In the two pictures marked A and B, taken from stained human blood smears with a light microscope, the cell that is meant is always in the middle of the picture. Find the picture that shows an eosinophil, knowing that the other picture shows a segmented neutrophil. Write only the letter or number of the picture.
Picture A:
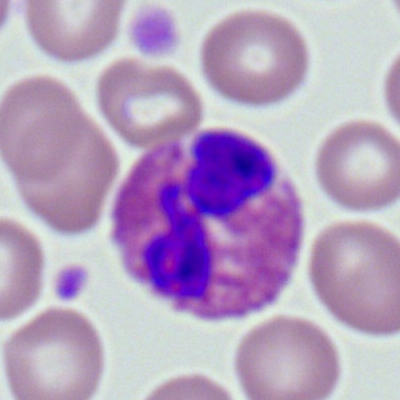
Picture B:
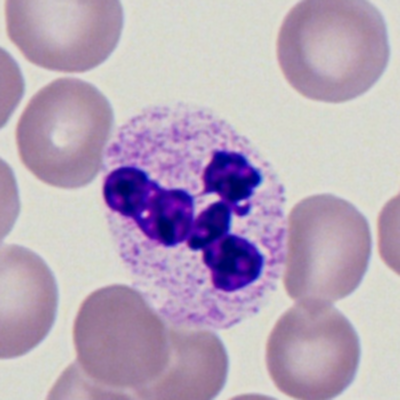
A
